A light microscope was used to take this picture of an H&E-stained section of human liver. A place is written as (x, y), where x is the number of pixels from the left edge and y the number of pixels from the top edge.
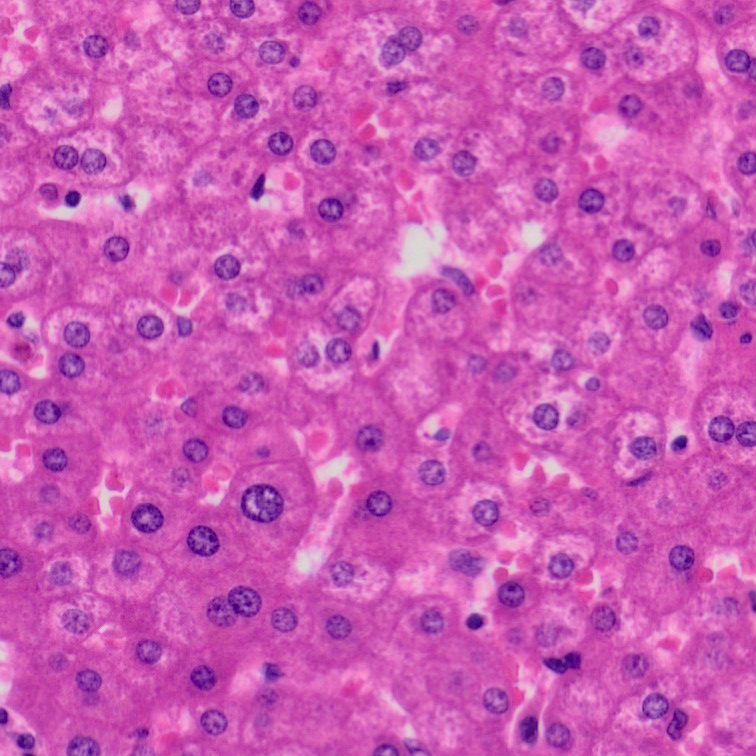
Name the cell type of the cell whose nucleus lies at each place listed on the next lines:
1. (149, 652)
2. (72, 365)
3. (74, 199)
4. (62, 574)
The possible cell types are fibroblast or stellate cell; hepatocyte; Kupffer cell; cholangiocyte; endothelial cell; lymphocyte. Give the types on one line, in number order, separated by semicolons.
hepatocyte; hepatocyte; lymphocyte; hepatocyte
